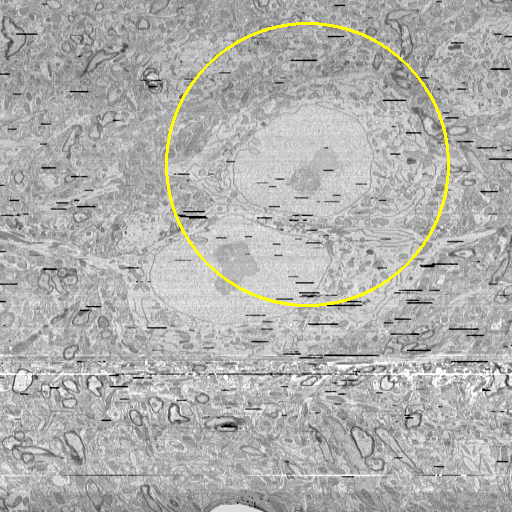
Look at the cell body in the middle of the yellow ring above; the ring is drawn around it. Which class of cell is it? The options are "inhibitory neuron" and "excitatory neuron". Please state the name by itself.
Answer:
inhibitory neuron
